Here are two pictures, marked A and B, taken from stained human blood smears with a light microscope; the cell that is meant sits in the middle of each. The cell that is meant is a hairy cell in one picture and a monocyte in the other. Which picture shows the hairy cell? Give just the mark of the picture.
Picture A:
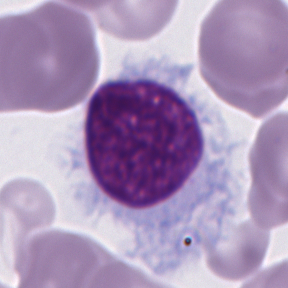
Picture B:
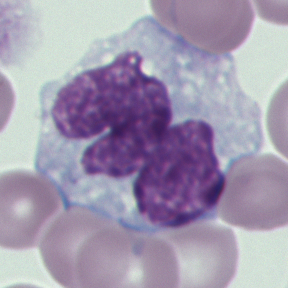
A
